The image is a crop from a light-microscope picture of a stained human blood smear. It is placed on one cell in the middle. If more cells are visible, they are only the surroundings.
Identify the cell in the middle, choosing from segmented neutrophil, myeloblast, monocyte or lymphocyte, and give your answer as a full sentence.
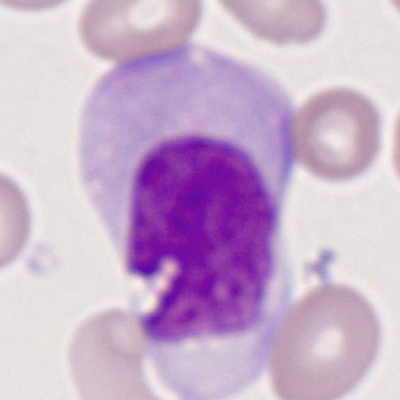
The central element of this crop is a cell, namely a monocyte.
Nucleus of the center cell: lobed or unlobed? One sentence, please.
The nucleus holds together as a single compact mass, round, oval or kidney-like.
